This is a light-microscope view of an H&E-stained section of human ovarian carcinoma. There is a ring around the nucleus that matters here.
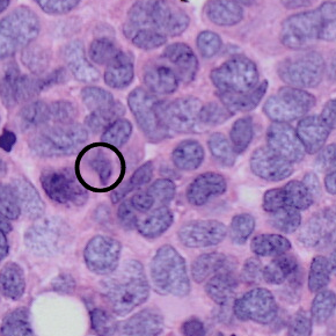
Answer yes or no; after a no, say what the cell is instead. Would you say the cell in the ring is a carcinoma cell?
Yes.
